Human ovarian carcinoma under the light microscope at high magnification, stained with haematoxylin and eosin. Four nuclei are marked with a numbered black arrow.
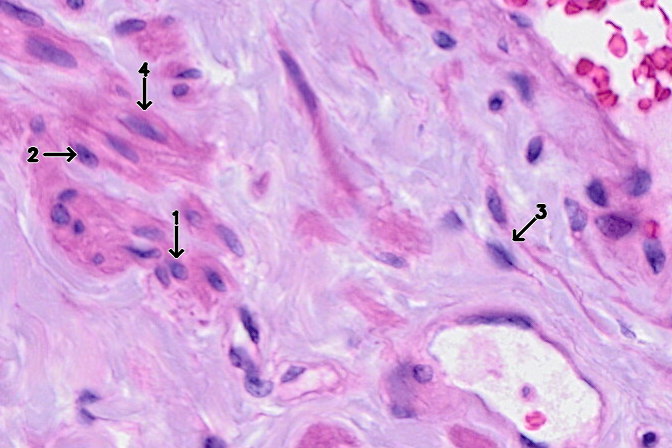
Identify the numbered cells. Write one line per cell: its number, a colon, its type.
1: smooth muscle cell
2: smooth muscle cell
3: fibroblast
4: smooth muscle cell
